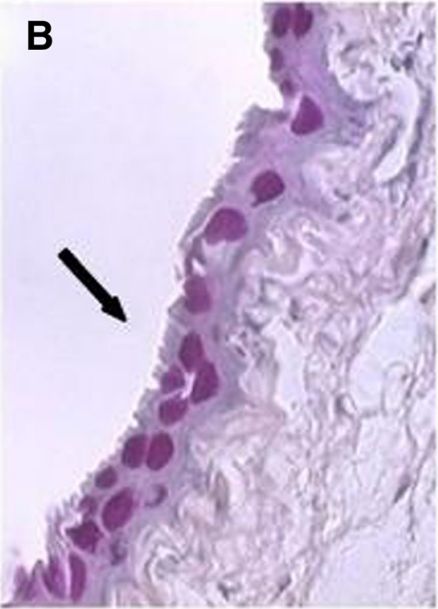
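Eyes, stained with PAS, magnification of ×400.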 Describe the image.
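This is the conjunctiva, a thin surface epithelium resting on loose connective tissue, and it is packed with goblet cells. The goblet cells stand out as plump oval bodies filled with deep magenta material, lying side by side along the whole length of the epithelium, in places crowded so closely that they seem to form more than one row. Between them the epithelium stains a pale lilac. Beneath the epithelium lies a loose, pale, wavy connective tissue with open spaces, carrying little colour. The free surface faces the empty white space on the left.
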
